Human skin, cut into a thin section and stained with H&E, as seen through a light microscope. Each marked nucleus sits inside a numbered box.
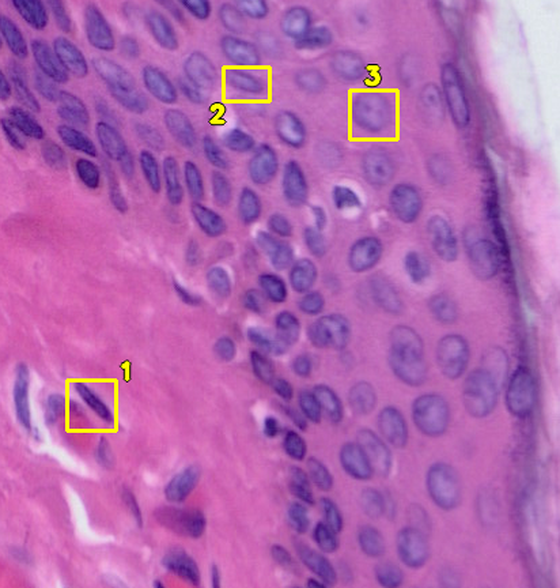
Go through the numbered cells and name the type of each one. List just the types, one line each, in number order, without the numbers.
fibroblast
suprabasal keratinocyte
suprabasal keratinocyte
